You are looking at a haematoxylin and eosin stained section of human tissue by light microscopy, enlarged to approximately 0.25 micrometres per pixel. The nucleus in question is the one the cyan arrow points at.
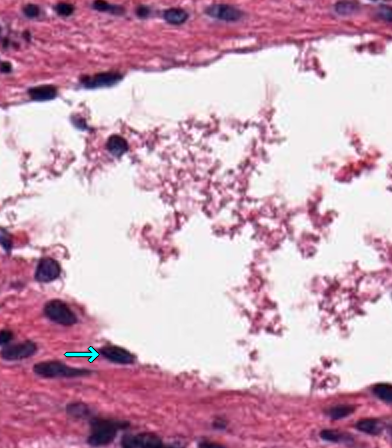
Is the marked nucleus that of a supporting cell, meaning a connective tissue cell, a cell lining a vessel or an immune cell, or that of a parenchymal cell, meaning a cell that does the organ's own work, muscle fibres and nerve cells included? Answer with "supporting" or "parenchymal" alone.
supporting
